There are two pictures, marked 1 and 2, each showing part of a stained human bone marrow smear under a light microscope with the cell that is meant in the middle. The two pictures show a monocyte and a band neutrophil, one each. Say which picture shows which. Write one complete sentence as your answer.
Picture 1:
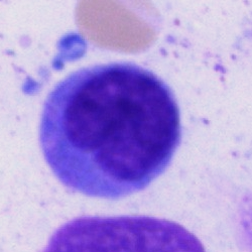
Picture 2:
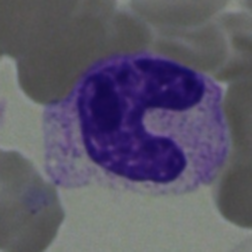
The cell in picture 1 is a monocyte, and the one in picture 2 is a band neutrophil.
